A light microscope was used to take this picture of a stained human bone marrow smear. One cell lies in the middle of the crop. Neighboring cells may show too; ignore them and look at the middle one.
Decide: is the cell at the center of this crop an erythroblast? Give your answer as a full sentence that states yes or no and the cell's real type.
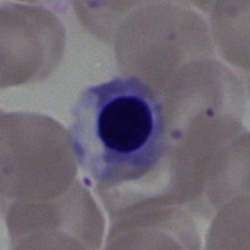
Yes, the crop is centred on an erythroblast.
